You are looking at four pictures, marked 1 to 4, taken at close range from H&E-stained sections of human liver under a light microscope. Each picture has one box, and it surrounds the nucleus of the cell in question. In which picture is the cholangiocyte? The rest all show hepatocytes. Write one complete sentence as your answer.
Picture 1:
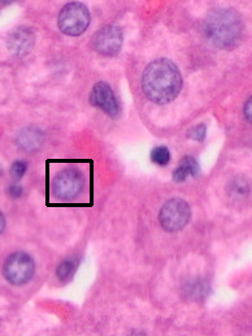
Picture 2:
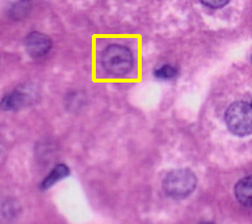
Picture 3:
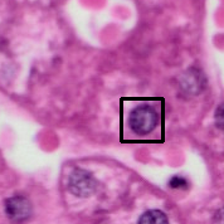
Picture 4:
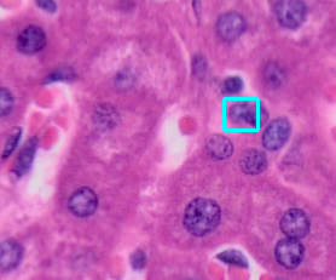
It is picture 4 that shows the cholangiocyte.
